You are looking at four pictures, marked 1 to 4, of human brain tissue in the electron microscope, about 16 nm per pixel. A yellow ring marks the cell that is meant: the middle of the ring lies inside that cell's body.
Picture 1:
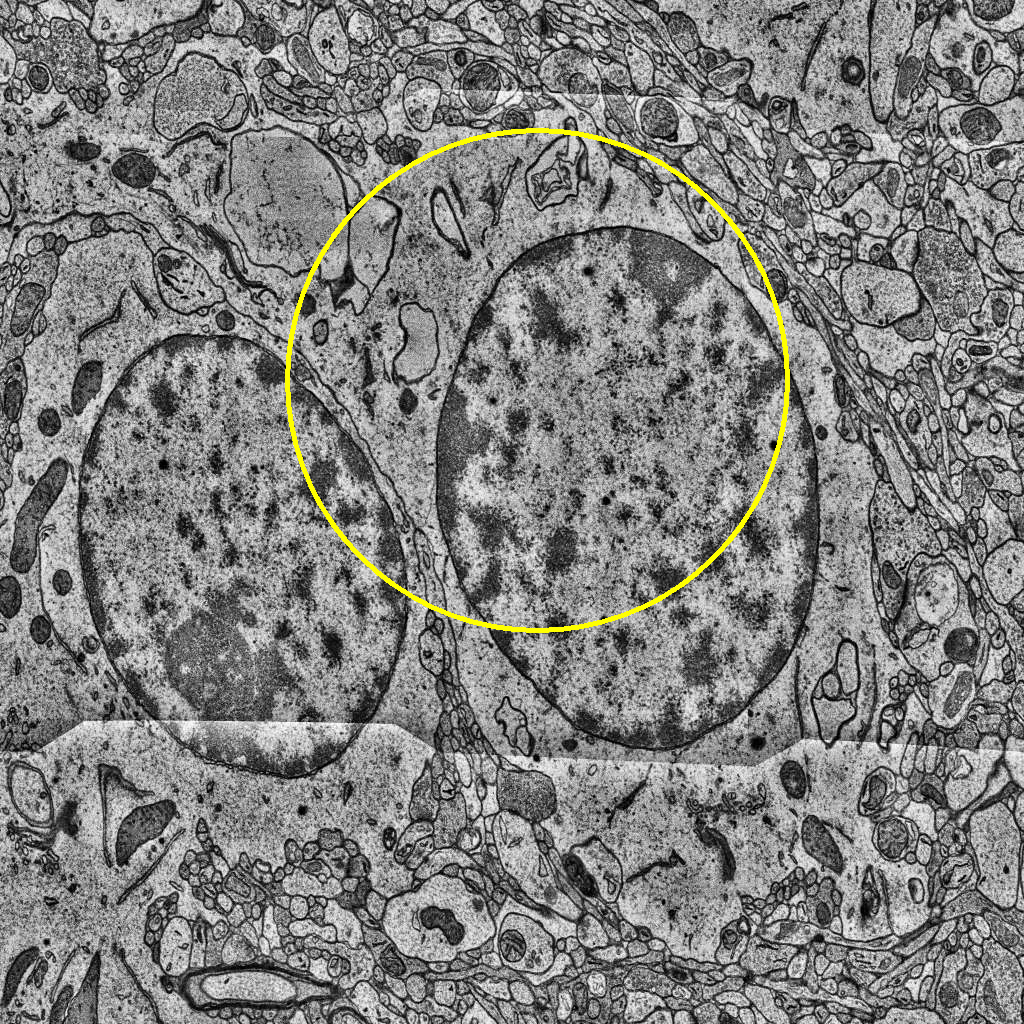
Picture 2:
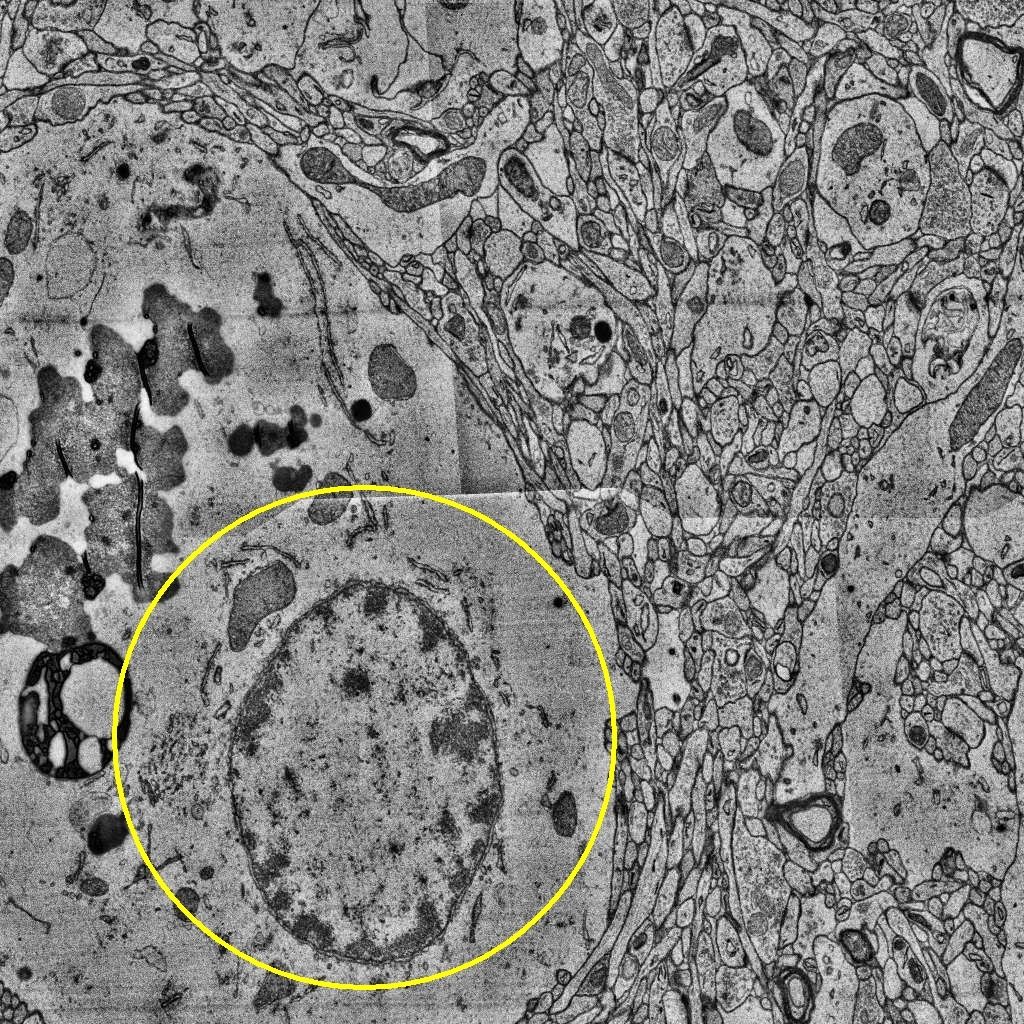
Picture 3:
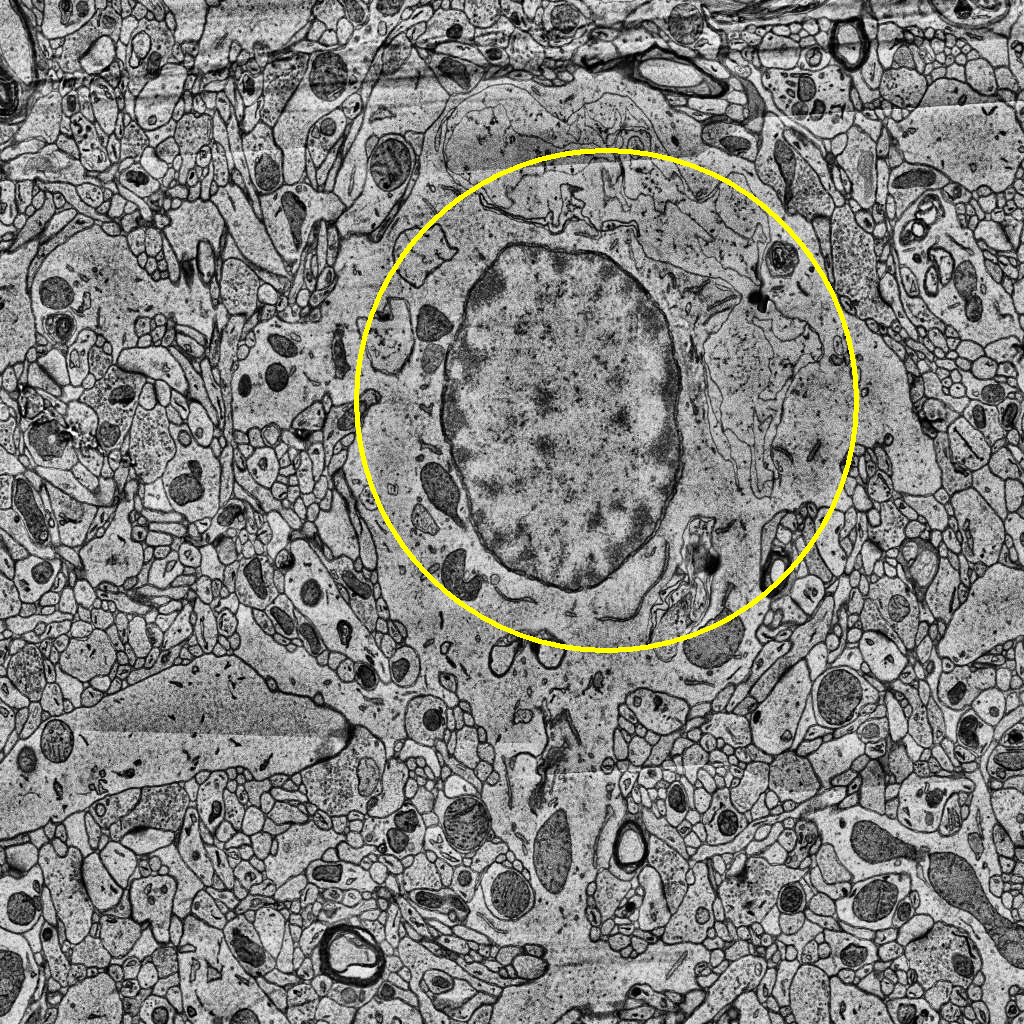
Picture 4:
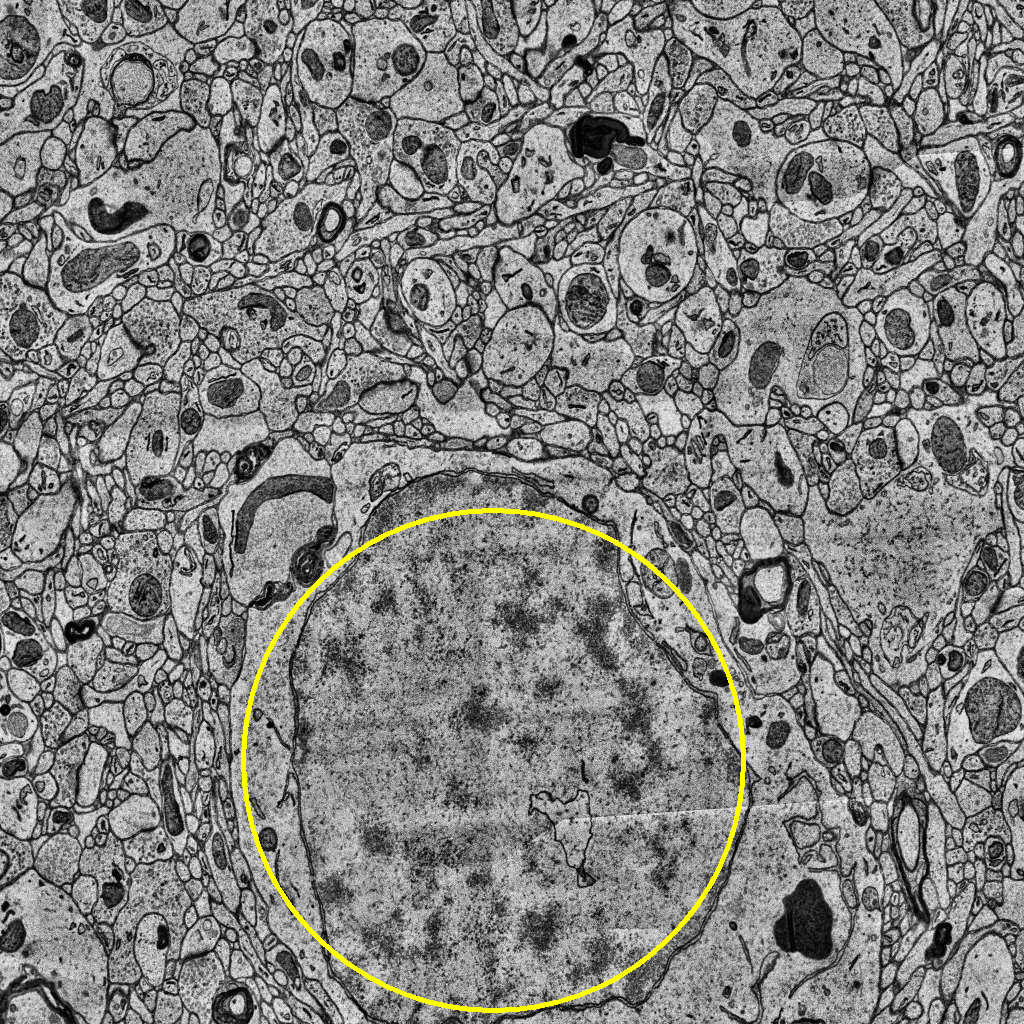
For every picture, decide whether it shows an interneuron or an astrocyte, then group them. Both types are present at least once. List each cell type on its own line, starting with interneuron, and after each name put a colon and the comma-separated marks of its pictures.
interneuron: 4
astrocyte: 1, 2, 3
